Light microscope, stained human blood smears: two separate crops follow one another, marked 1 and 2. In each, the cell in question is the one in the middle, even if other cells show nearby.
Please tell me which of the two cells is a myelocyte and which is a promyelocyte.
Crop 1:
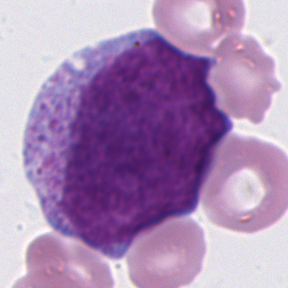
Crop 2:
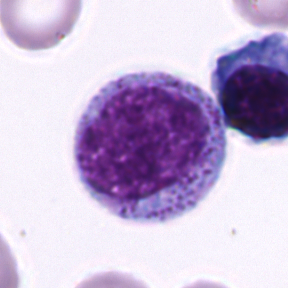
1: promyelocyte
2: myelocyte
